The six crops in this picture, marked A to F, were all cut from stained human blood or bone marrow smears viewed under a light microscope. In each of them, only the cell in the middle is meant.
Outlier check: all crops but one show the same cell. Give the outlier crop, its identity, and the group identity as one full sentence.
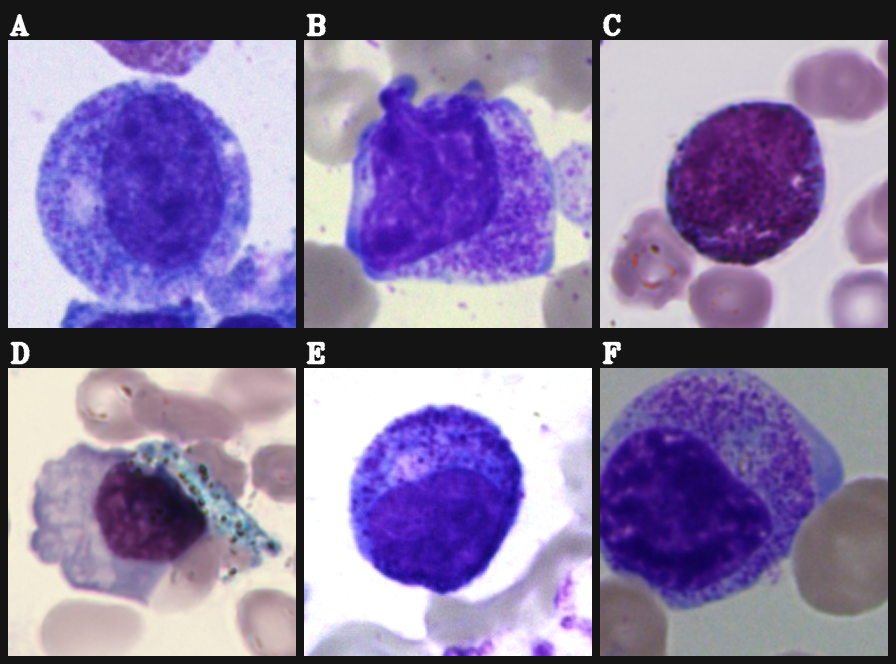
All the crops show promyelocytes except crop D, which shows a plasma cell.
